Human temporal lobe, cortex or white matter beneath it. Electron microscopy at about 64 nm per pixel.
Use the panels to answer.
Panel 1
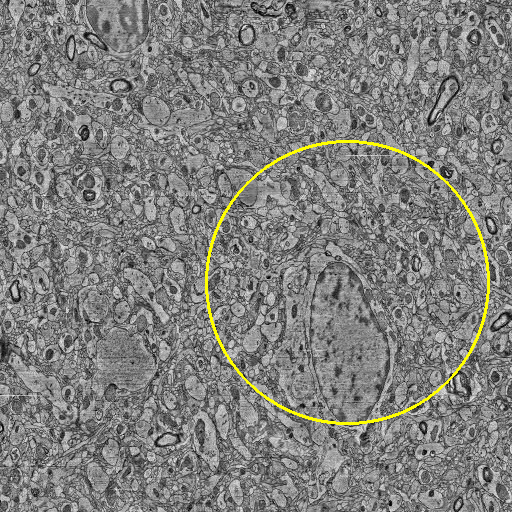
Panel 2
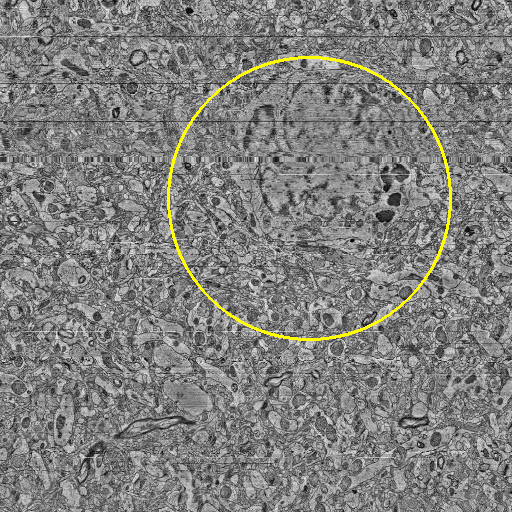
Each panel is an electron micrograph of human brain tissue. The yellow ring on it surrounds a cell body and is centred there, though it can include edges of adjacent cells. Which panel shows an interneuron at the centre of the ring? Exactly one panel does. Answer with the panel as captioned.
Panel 2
